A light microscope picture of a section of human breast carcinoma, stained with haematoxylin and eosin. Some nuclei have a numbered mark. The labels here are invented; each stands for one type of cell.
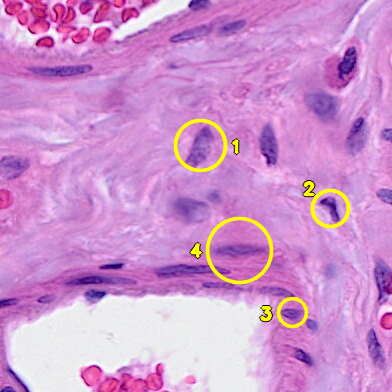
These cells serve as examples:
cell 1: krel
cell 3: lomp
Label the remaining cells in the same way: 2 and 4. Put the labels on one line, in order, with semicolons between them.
krel; lomp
